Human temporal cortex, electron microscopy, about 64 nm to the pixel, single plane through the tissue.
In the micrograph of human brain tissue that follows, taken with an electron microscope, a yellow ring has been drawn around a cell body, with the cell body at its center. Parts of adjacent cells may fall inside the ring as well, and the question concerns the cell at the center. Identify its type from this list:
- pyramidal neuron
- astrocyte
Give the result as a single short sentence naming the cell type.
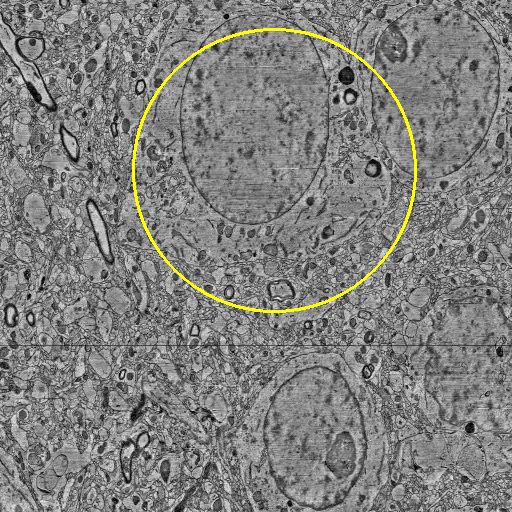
The ring is centered on a pyramidal neuron.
